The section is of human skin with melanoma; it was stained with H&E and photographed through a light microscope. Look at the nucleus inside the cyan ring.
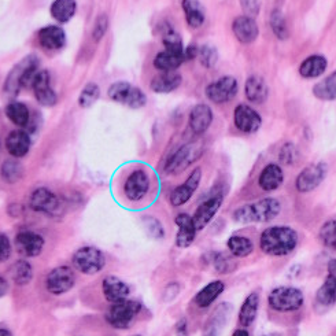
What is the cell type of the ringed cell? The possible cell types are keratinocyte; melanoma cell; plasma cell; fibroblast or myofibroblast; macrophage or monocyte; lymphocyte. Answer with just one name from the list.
plasma cell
